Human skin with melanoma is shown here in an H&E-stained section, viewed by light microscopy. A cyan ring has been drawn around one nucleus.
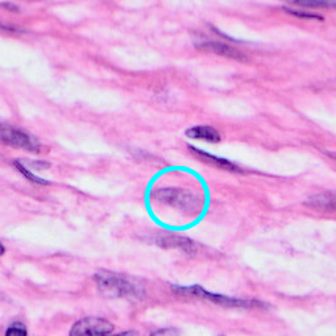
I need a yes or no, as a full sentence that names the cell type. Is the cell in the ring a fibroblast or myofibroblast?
Yes, a fibroblast or myofibroblast is what the cell in the ring is in this section.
